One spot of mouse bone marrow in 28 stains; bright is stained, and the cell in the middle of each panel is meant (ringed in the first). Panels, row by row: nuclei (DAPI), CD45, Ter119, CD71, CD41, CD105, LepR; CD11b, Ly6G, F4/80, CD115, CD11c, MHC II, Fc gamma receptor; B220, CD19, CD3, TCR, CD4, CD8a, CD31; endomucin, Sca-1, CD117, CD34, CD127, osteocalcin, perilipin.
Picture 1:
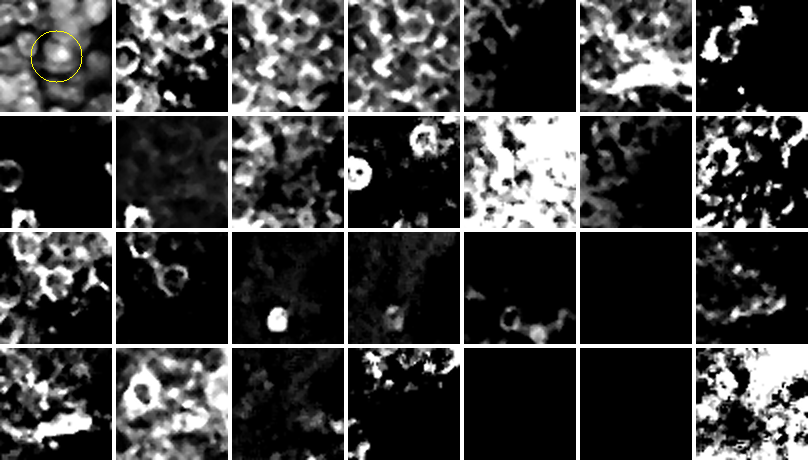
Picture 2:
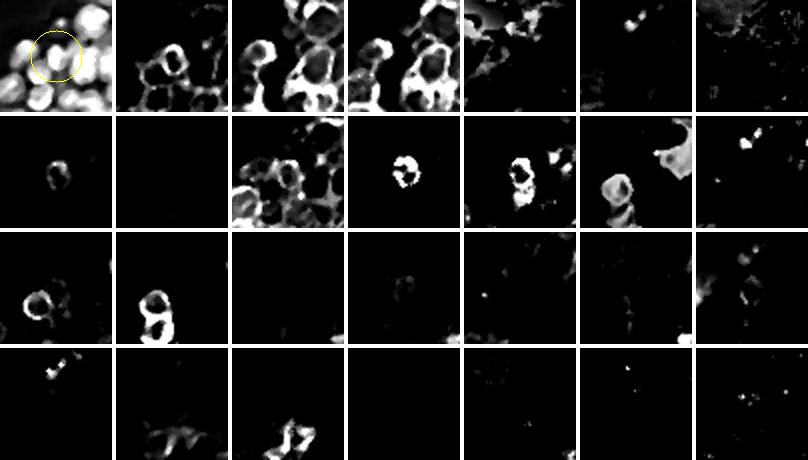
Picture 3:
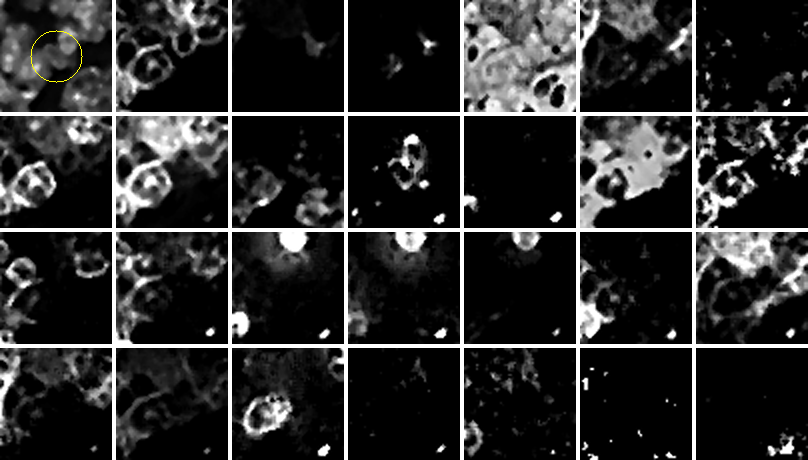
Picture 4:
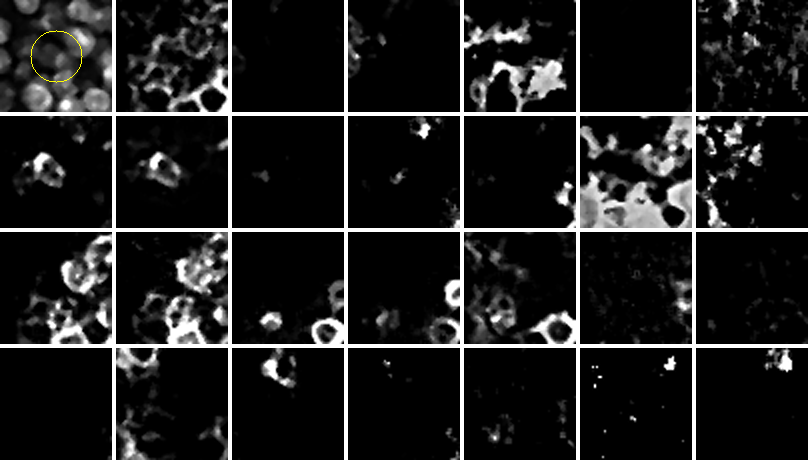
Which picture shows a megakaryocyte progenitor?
Picture 3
